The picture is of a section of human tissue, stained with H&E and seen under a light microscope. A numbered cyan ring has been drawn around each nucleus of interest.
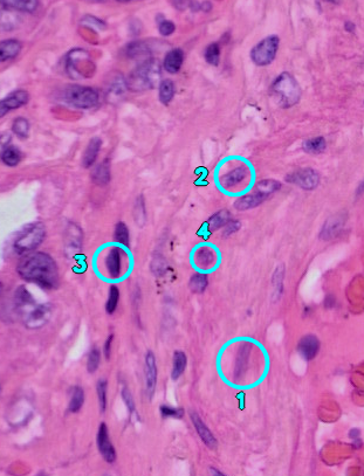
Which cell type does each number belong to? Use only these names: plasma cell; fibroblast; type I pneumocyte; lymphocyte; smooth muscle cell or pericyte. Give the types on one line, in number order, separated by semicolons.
smooth muscle cell or pericyte; smooth muscle cell or pericyte; lymphocyte; smooth muscle cell or pericyte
